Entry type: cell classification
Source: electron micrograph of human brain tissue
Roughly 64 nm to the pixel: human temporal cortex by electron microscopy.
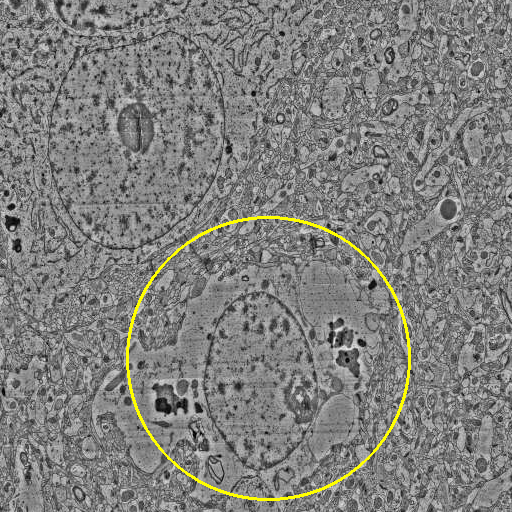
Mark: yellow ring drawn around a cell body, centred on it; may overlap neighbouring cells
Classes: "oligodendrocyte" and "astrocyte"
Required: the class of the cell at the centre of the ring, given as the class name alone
astrocyte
